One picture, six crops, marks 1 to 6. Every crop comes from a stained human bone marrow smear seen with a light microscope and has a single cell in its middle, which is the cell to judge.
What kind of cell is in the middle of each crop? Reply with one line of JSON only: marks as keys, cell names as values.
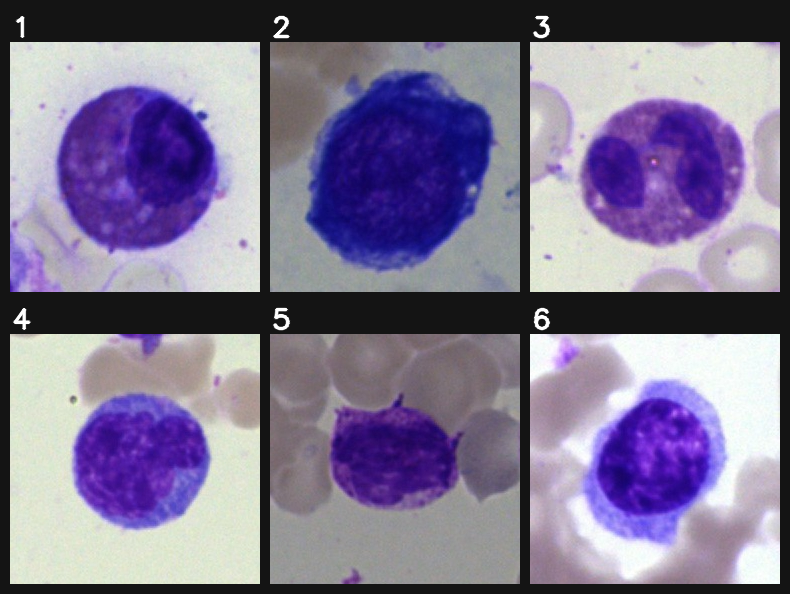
{"1": "eosinophil", "2": "proerythroblast", "3": "eosinophil", "4": "monocyte", "5": "basophil", "6": "hairy cell"}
